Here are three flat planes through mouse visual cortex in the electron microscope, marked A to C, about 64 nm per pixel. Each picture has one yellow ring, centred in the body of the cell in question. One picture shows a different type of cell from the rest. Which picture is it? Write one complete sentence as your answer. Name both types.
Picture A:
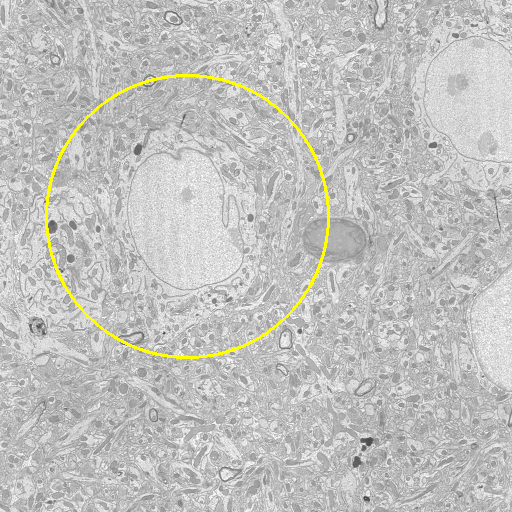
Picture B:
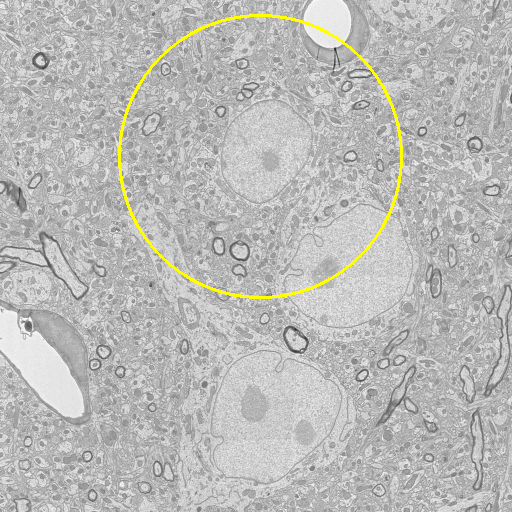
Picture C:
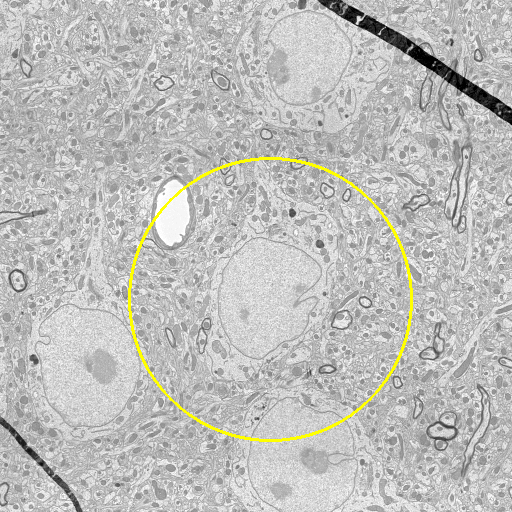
The others show excitatory neurons, but picture B shows an astrocyte.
